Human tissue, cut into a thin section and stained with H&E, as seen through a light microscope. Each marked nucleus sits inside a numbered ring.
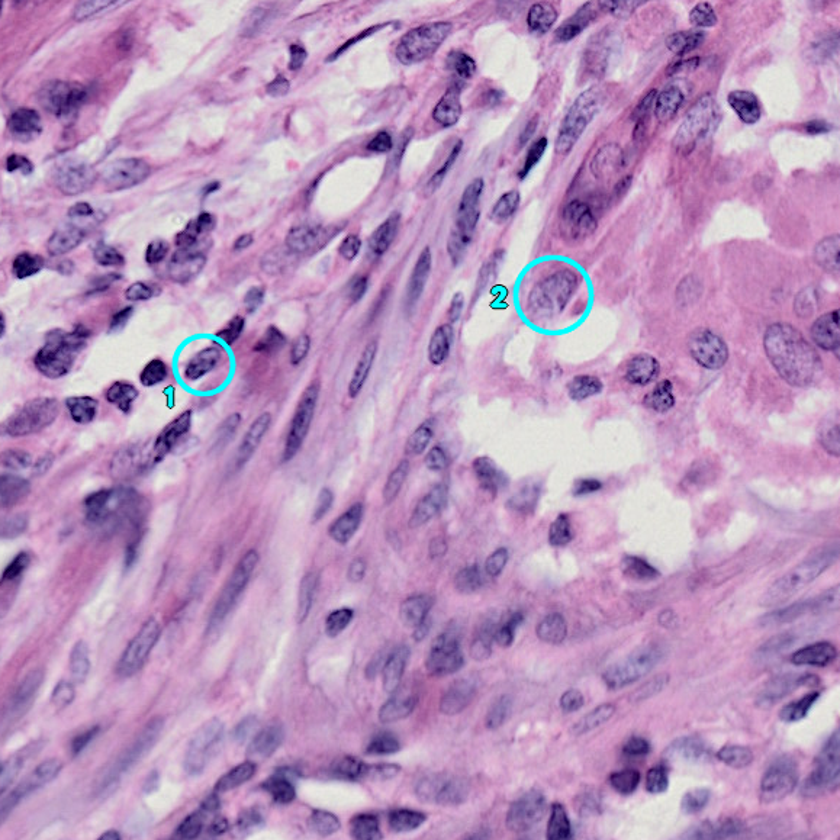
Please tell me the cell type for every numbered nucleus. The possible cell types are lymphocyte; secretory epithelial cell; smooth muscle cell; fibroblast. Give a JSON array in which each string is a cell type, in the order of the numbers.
["lymphocyte", "fibroblast"]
